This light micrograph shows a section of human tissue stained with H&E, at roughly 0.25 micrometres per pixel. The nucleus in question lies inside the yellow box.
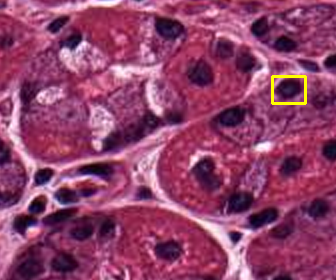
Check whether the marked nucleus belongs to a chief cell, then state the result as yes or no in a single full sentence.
Yes, a chief cell is the cell that the marked nucleus belongs to.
